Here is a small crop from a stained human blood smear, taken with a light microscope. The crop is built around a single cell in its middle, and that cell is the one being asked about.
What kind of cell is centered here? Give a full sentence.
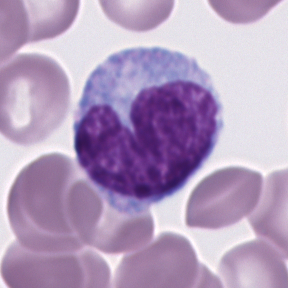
The centrally placed cell is classified as a monocyte.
